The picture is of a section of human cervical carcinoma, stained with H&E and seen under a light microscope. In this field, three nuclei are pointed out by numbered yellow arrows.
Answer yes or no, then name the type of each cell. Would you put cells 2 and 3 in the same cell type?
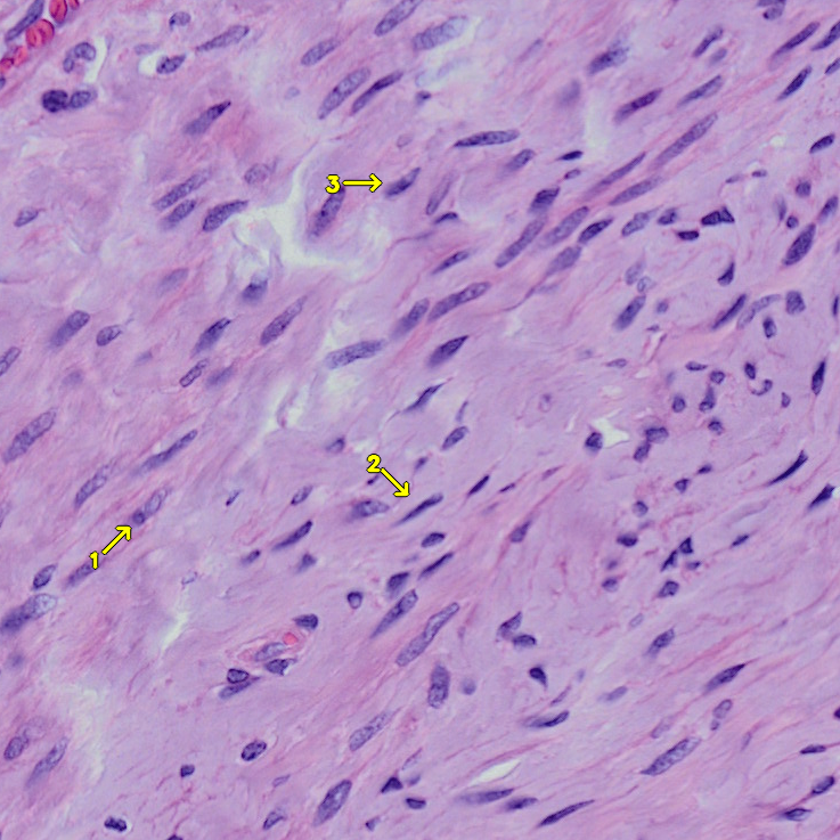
Yes, both are fibroblasts.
